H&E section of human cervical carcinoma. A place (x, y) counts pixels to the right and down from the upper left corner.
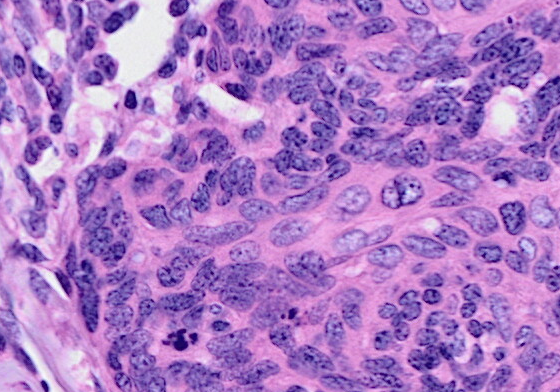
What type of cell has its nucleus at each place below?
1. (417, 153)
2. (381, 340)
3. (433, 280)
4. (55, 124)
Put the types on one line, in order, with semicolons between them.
squamous carcinoma cell; squamous carcinoma cell; squamous carcinoma cell; lymphocyte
